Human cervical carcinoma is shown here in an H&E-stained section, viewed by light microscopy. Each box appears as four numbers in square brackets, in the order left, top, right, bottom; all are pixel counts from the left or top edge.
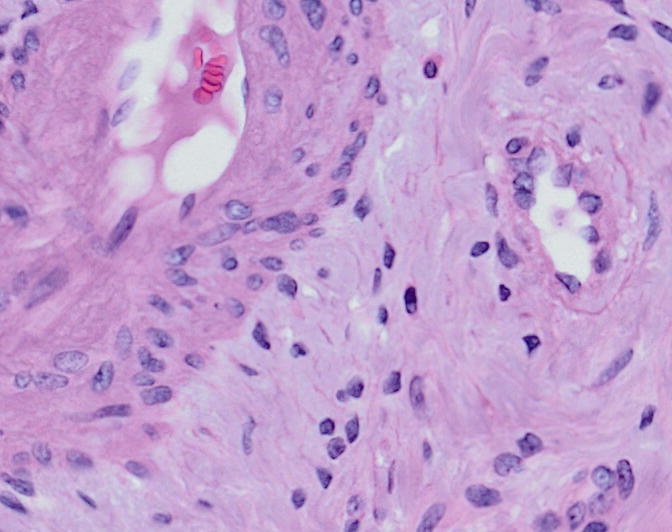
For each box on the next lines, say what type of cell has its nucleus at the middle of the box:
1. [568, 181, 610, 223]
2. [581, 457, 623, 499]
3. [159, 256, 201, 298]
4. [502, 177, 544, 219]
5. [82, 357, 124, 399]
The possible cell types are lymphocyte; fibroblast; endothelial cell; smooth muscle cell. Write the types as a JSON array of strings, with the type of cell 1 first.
["endothelial cell", "endothelial cell", "smooth muscle cell", "endothelial cell", "smooth muscle cell"]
